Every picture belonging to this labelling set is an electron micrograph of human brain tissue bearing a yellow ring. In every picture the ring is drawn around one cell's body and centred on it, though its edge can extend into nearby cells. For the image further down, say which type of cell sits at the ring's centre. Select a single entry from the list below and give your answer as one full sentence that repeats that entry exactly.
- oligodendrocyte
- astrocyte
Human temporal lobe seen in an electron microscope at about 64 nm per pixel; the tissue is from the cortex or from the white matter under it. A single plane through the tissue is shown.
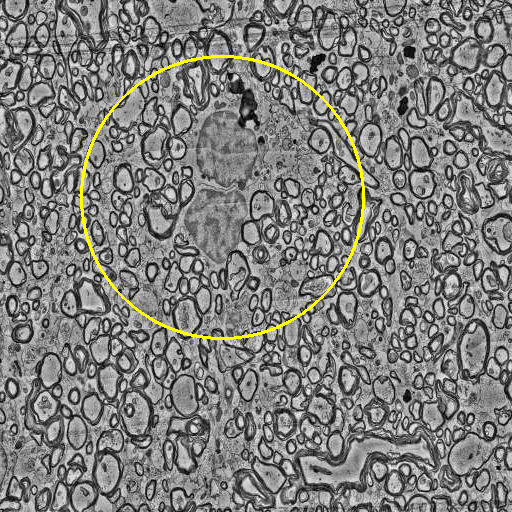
In the picture, an oligodendrocyte is the cell at the centre of the yellow ring.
